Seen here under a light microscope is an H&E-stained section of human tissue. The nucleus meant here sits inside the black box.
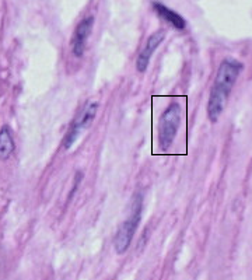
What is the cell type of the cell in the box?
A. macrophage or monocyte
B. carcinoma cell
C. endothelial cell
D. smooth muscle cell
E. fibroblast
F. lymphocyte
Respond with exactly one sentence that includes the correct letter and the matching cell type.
Option E, identifying the cell in the box as a fibroblast, is correct.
